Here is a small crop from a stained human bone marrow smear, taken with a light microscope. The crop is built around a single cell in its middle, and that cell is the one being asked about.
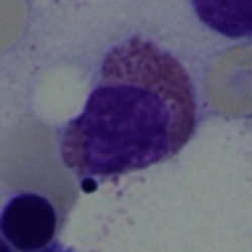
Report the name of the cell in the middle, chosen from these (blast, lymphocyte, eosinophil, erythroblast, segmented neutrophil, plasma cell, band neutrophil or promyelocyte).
eosinophil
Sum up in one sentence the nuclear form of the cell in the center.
What stands out is a nucleus forming one compact round, oval or kidney-shaped mass.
